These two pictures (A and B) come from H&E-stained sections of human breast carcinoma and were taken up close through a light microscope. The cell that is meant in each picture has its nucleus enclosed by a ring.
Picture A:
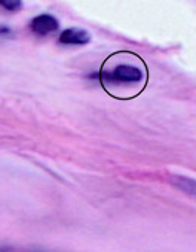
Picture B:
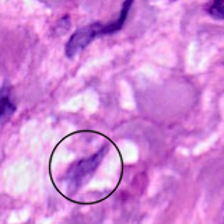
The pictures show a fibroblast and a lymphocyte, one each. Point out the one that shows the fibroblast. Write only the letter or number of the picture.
B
